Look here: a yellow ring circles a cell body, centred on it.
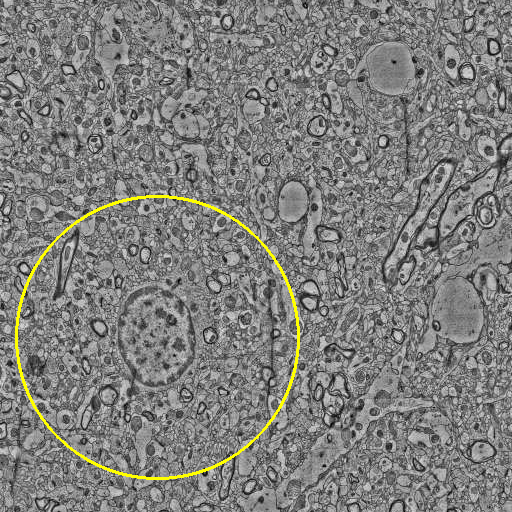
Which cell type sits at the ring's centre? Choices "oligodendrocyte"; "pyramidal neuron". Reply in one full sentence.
The cell at the centre of the yellow ring in the picture is an oligodendrocyte.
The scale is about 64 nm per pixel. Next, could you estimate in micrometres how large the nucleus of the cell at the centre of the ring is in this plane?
The nucleus of the ringed cell is approximately 6 by 5 micrometres in this plane.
